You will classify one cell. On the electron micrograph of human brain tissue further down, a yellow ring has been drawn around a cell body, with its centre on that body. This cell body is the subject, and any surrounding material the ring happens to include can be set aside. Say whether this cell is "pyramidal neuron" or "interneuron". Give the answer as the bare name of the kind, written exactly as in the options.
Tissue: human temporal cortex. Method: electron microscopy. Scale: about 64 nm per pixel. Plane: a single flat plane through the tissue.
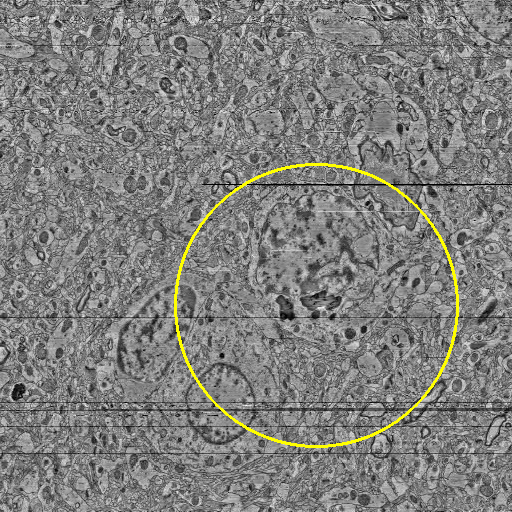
interneuron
